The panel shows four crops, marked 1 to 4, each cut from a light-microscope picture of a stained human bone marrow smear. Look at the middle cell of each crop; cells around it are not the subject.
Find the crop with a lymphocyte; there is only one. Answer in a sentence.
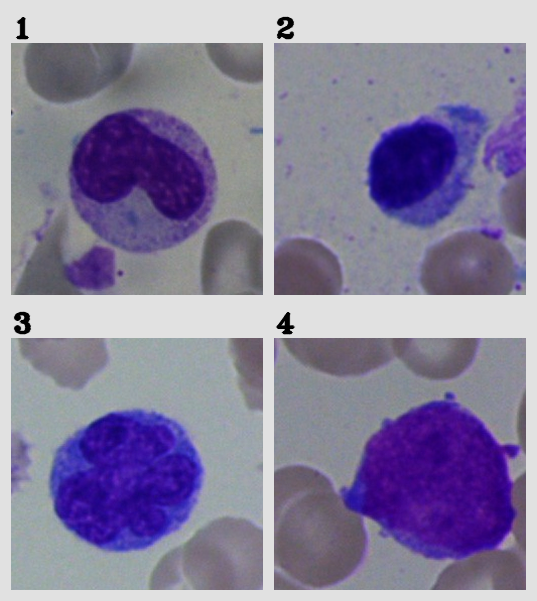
The crop marked 2 is the one in which a lymphocyte is shown.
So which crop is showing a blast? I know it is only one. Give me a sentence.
The one showing a blast is the crop labelled 4.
